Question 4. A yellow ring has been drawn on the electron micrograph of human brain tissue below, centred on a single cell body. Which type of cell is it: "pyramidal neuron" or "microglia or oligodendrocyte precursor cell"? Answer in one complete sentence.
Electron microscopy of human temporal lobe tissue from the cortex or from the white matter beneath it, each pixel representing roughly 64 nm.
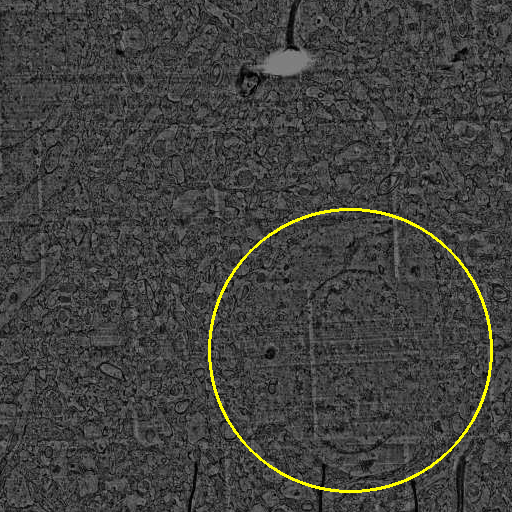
This cell body belongs to a pyramidal neuron.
